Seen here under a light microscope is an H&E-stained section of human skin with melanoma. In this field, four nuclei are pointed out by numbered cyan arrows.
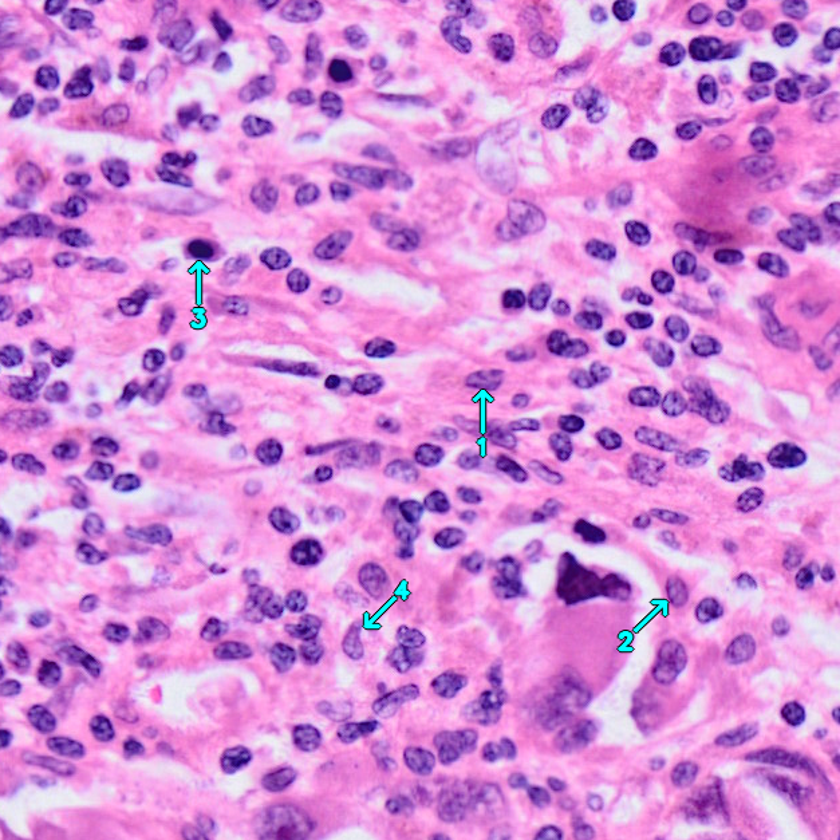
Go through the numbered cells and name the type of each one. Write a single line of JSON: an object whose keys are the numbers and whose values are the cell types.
{"1": "macrophage or monocyte", "2": "macrophage or monocyte", "3": "plasma cell", "4": "macrophage or monocyte"}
